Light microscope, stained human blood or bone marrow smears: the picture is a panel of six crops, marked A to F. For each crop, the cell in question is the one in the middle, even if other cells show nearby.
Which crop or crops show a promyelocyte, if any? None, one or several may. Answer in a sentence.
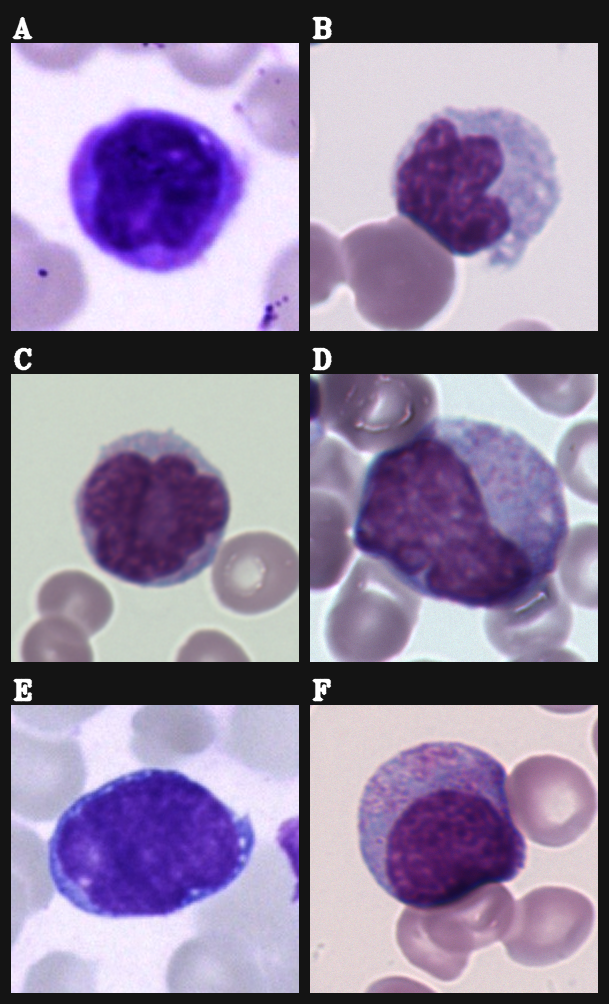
The centrally placed cells in crops D and F are promyelocytes.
